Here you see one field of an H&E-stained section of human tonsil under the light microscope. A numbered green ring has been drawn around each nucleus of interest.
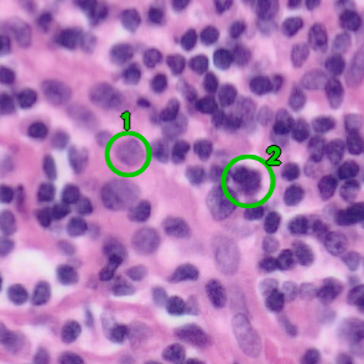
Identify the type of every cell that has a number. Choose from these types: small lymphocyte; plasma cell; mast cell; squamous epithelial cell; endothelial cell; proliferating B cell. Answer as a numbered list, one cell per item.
1. endothelial cell
2. proliferating B cell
